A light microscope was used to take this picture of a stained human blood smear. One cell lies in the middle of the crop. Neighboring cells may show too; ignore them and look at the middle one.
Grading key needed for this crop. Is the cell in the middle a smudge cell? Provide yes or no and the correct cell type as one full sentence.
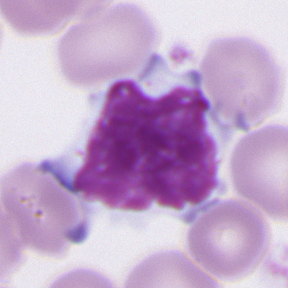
No, instead of a smudge cell, the middle cell is a typical lymphocyte.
